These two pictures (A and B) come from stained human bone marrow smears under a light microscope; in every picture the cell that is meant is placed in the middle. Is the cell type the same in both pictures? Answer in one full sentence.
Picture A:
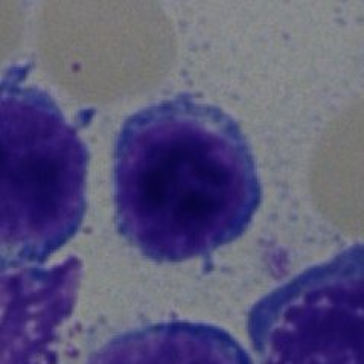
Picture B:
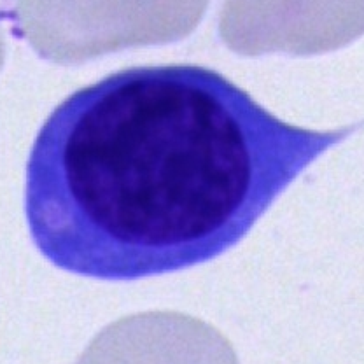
No. Picture A shows a lymphocyte, but picture B shows a plasma cell.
